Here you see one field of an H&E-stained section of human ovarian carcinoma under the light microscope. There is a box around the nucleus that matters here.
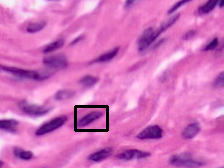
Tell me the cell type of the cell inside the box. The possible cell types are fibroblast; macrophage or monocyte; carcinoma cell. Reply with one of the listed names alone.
fibroblast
